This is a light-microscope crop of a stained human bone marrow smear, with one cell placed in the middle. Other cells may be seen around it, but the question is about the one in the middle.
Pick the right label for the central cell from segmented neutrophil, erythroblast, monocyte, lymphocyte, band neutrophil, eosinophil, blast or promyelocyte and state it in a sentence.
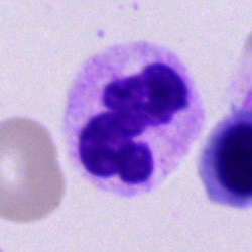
The cell at the centre of the field is a segmented neutrophil.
